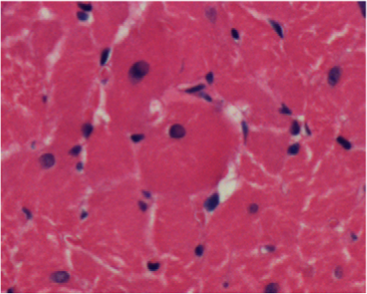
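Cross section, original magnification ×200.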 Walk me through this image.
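This is heart muscle cut across, with the muscle cells seen as pink, polygonal profiles. Several of them have a round, dark purple nucleus near their center, and one broad profile fills much of the middle of the field. Between the muscle cells run thin pale clefts holding small, dark, elongated nuclei of the cells lying between the fibres.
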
